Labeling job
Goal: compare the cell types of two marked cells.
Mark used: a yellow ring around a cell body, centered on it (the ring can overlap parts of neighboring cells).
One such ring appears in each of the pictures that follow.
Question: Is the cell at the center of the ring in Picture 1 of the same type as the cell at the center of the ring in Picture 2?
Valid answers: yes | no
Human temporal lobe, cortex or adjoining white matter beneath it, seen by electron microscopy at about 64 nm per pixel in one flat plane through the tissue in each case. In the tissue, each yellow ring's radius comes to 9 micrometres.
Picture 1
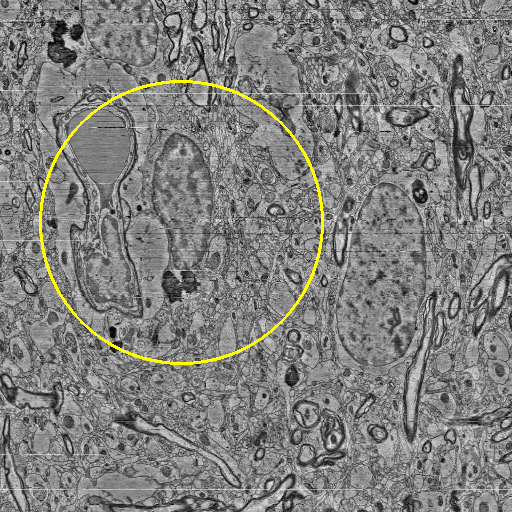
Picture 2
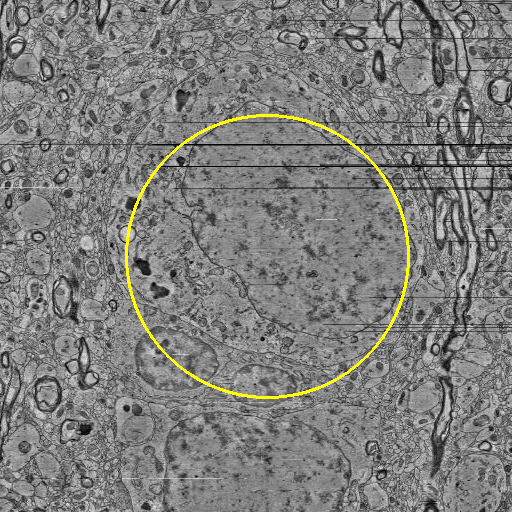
no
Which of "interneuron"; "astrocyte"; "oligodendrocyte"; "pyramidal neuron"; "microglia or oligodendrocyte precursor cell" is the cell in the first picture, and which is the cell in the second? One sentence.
The two differ: the first cell is an oligodendrocyte and the second is a pyramidal neuron.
